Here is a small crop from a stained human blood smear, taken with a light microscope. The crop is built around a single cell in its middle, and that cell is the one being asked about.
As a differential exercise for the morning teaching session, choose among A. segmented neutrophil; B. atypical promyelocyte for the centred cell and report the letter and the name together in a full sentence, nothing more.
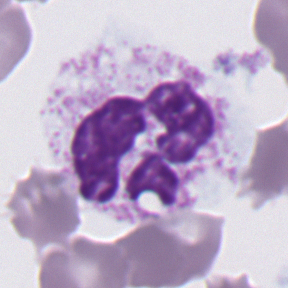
Here the central cell is a segmented neutrophil, and option A is correct.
